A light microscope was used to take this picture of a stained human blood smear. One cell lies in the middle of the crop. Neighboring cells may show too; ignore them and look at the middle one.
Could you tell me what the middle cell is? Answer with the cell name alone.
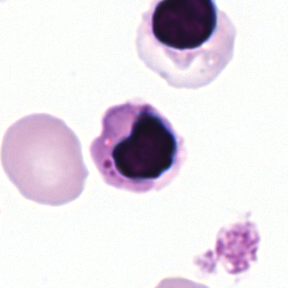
erythroblast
